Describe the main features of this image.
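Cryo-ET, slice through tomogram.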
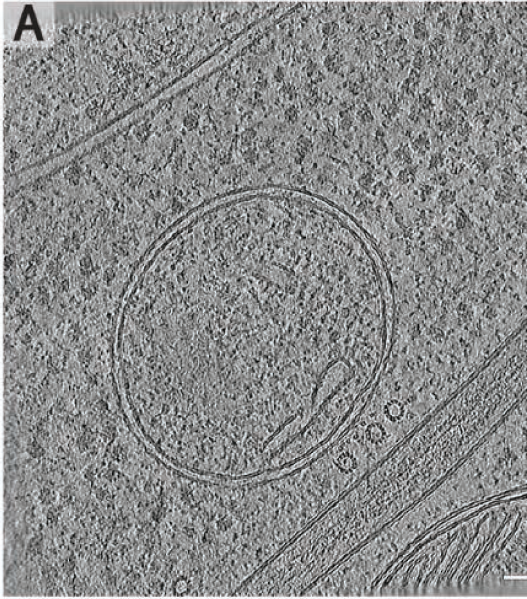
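A round organelle sits in the middle, bounded by a double membrane and holding folded inner membranes. Around it the cytoplasm is crowded with small dense particles, and long smooth membranes run diagonally near the lower right edge. This is a mitochondrion lying close to the plasma membrane.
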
